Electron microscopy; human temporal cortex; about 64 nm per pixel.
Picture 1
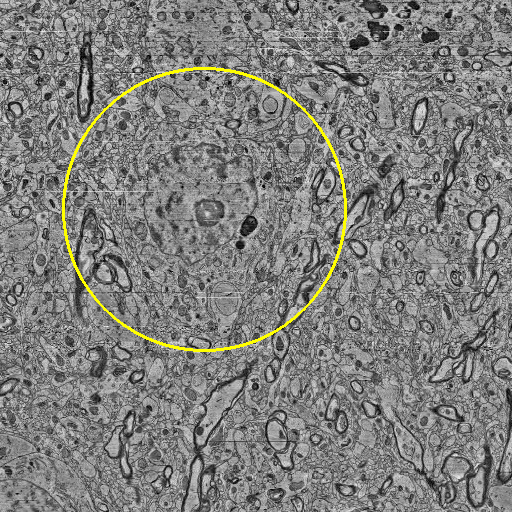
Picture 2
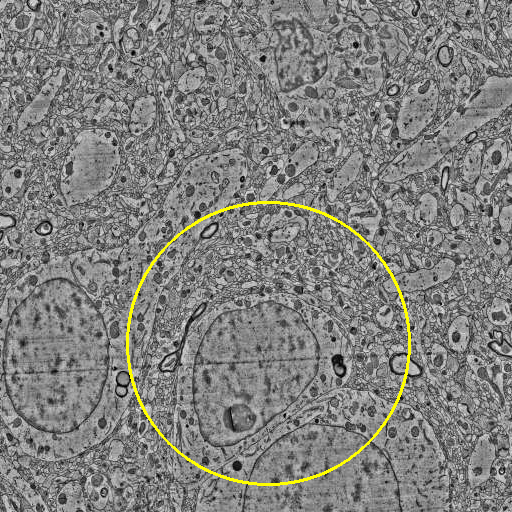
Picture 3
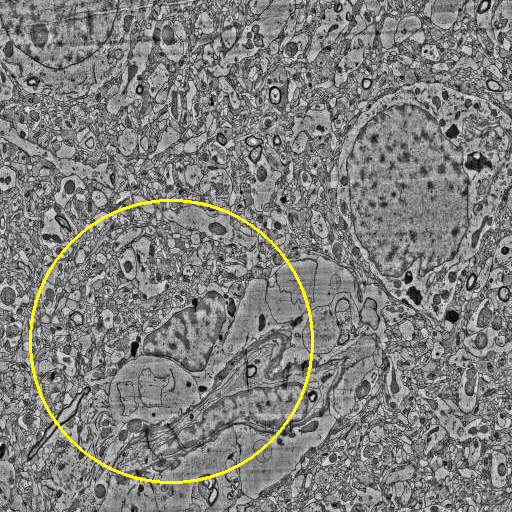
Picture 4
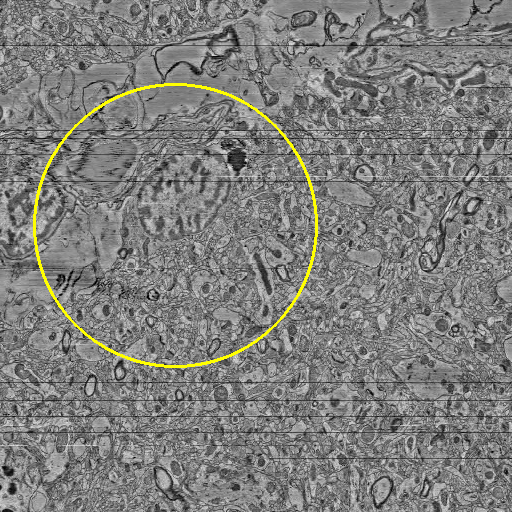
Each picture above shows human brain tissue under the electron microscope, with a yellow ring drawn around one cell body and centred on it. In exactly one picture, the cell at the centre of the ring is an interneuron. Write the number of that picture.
1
